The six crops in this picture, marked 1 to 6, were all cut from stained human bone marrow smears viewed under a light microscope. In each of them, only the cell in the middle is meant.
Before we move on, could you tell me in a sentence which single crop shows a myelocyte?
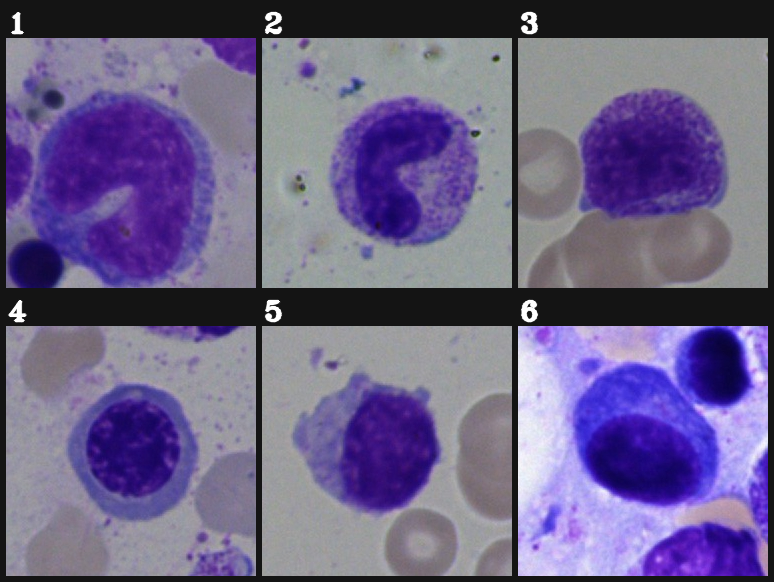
The one showing a myelocyte is crop 3.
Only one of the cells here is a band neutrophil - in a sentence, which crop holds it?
The crop bearing a band neutrophil is crop 2.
